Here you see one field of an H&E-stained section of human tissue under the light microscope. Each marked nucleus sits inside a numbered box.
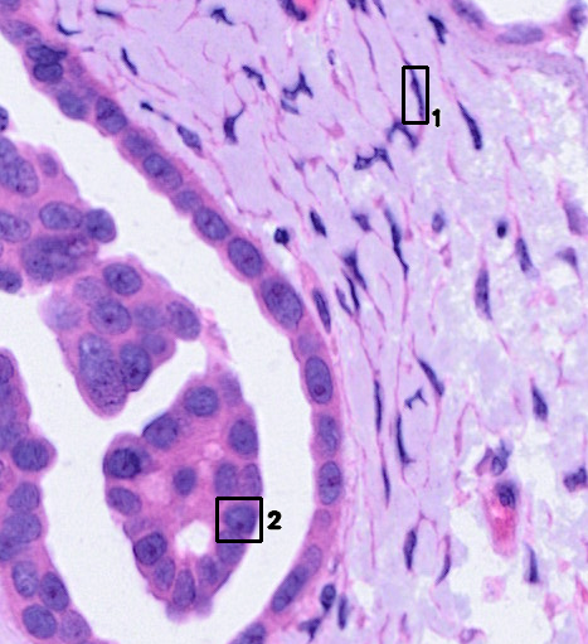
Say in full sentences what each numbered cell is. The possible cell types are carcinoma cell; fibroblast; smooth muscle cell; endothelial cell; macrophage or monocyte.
Cell 1 is a fibroblast. Cell 2 is a carcinoma cell.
